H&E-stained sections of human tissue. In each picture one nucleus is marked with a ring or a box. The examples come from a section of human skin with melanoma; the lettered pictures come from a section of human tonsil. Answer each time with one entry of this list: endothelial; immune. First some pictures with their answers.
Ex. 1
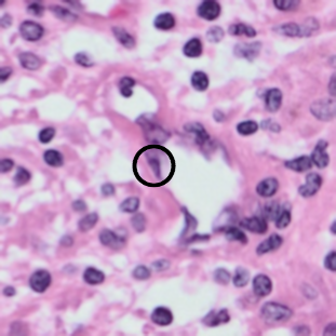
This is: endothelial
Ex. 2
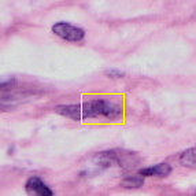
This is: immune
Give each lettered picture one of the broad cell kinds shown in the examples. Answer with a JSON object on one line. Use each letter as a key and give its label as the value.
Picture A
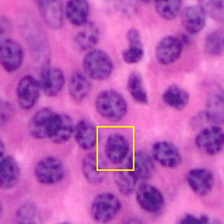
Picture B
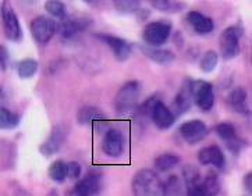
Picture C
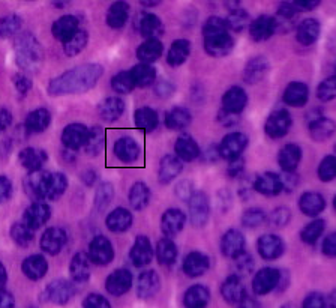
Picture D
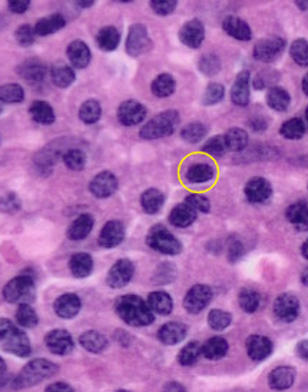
{"A": "immune", "B": "endothelial", "C": "immune", "D": "immune"}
